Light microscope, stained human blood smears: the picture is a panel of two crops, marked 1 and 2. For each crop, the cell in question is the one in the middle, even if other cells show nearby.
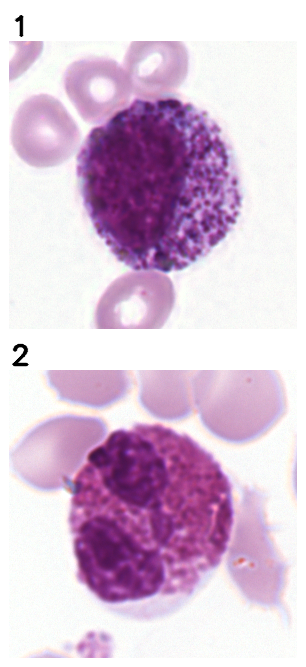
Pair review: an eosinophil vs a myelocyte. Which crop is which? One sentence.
The cell of crop 1 is a myelocyte; that of crop 2 is an eosinophil.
